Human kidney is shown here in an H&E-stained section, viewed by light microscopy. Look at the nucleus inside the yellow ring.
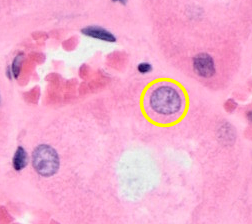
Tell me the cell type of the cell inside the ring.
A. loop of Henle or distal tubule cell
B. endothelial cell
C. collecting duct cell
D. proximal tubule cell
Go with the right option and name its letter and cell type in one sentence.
The accurate option is D, with the cell inside the ring being a proximal tubule cell.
